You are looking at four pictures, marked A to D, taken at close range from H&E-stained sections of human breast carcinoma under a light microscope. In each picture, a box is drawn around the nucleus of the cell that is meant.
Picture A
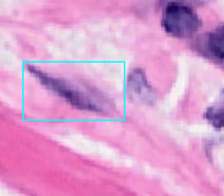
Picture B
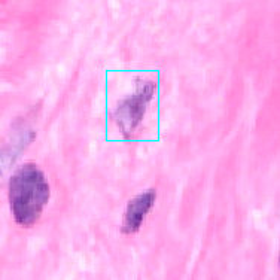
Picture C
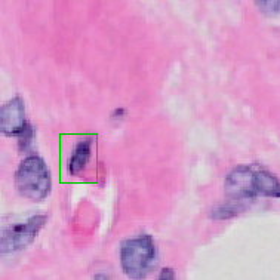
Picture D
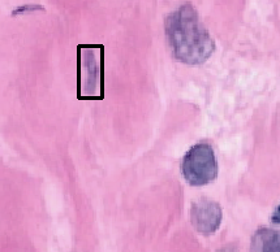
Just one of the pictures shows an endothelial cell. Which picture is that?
C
